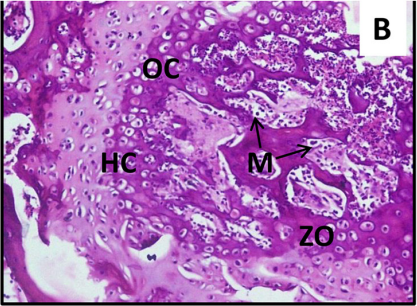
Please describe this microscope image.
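The cartilage has a pale, glassy pink-lilac matrix in which rounded chondrocytes sit singly or in small groups within clear lacunae; toward the bone side the cells are larger and lie in short rows. Beyond this the matrix turns deeper pink-purple as irregular bony trabeculae, with small cells embedded in lacunae within them. Between the trabeculae are spaces holding loose cellular marrow with many small dark nuclei. The transition from cartilage to bone is orderly, with no crowding of inflammatory cells.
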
